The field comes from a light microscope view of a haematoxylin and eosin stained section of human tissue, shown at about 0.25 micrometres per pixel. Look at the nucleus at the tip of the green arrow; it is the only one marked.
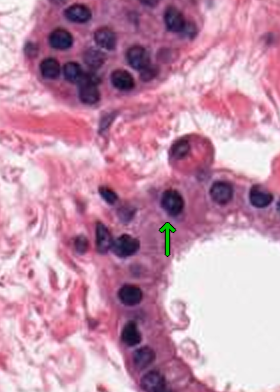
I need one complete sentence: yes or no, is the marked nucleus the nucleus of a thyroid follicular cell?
Yes, the marked nucleus lies within a thyroid follicular cell.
